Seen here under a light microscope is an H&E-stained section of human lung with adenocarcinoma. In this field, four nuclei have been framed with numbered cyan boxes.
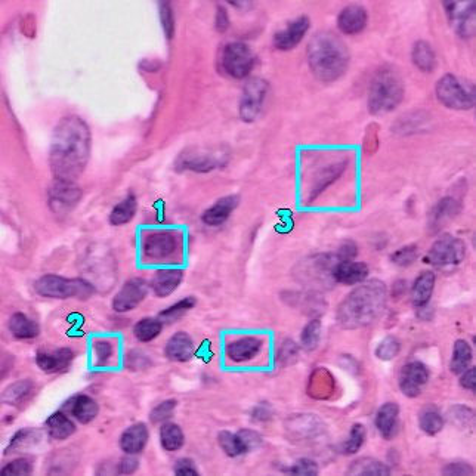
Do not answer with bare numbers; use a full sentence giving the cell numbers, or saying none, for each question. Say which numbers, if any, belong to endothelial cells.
Among the labelled cells, only the cell labelled 3 is an endothelial cell.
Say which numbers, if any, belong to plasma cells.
Only the cell with number 1 is a plasma cell.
